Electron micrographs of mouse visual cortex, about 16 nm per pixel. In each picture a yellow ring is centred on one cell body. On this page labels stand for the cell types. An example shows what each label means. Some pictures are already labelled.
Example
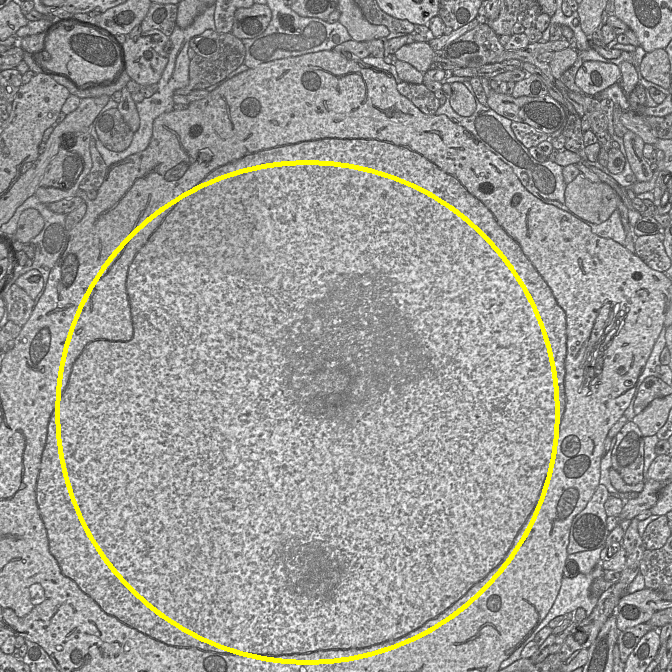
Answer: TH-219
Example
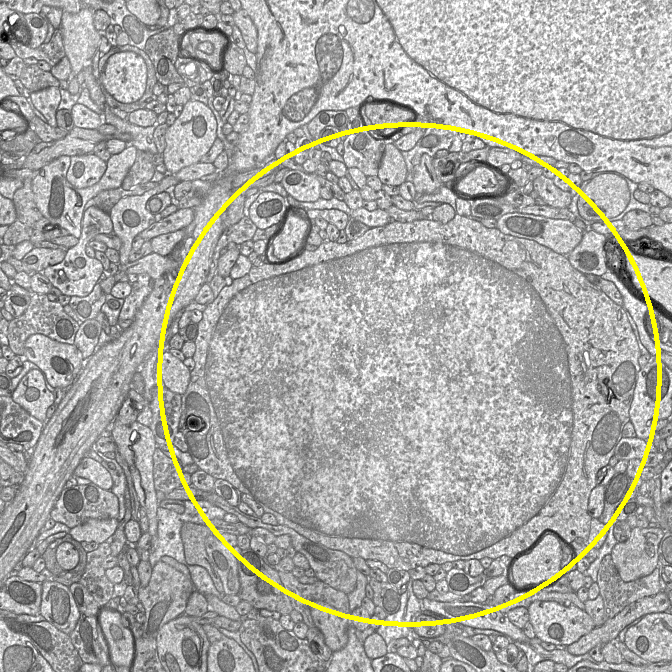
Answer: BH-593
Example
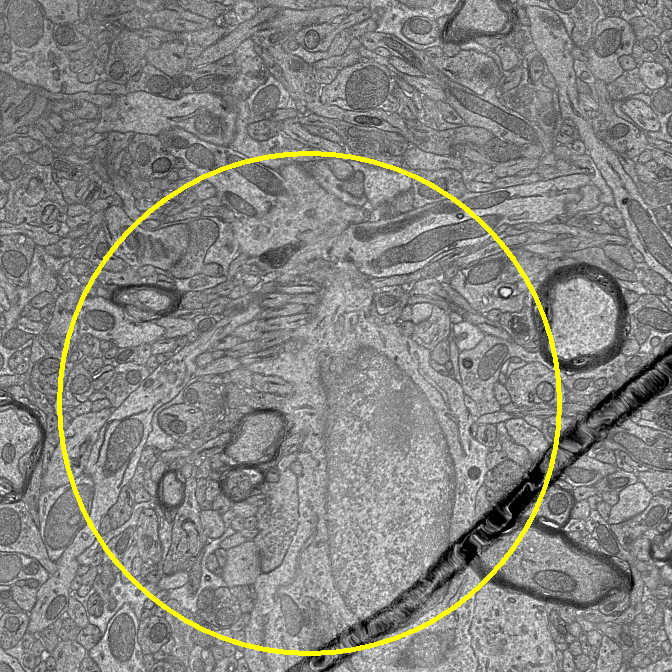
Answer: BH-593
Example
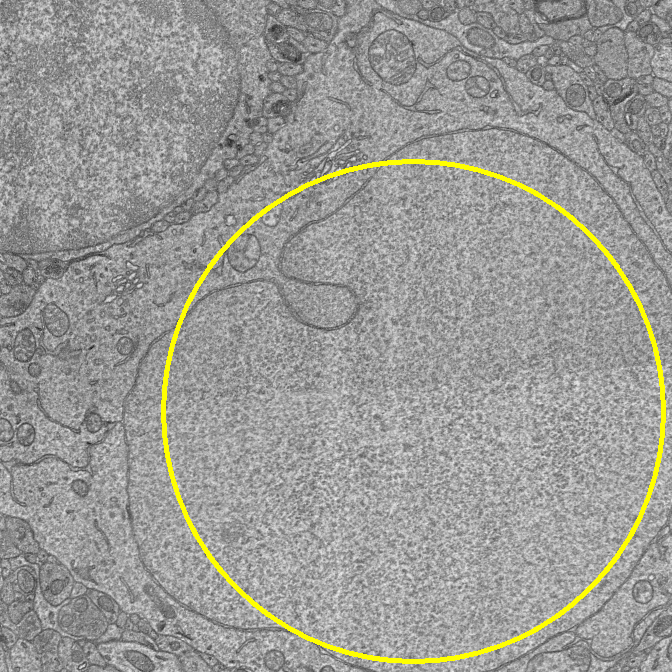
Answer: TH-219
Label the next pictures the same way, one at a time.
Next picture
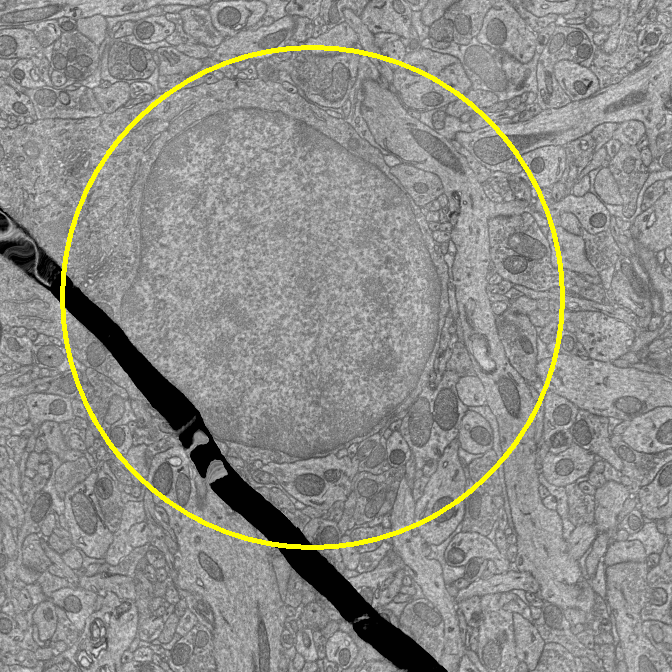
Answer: BH-593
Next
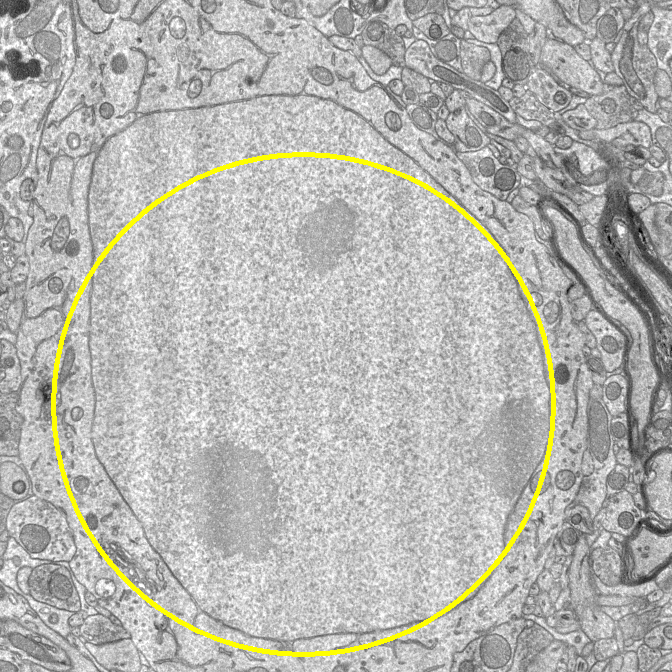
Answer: TH-219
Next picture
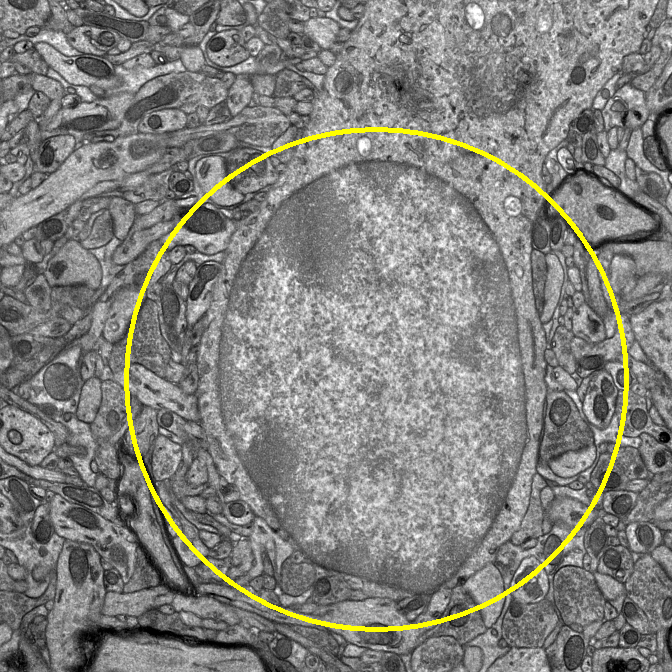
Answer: BH-593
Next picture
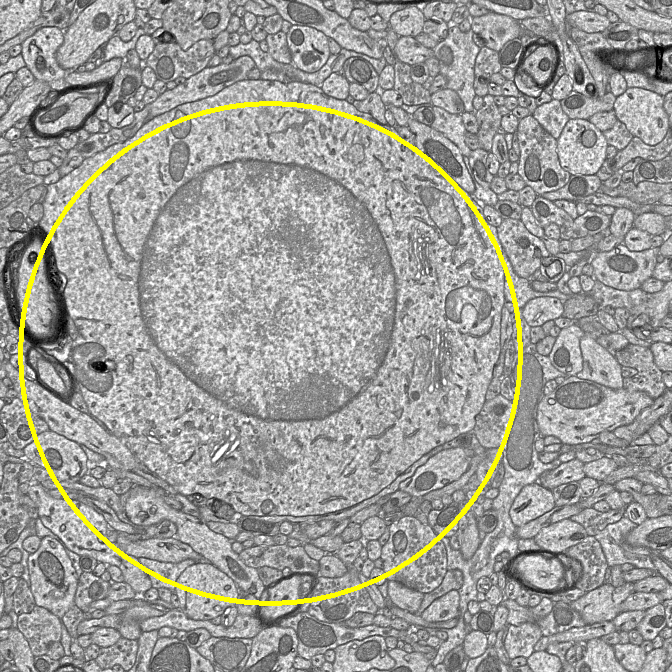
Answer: BH-593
